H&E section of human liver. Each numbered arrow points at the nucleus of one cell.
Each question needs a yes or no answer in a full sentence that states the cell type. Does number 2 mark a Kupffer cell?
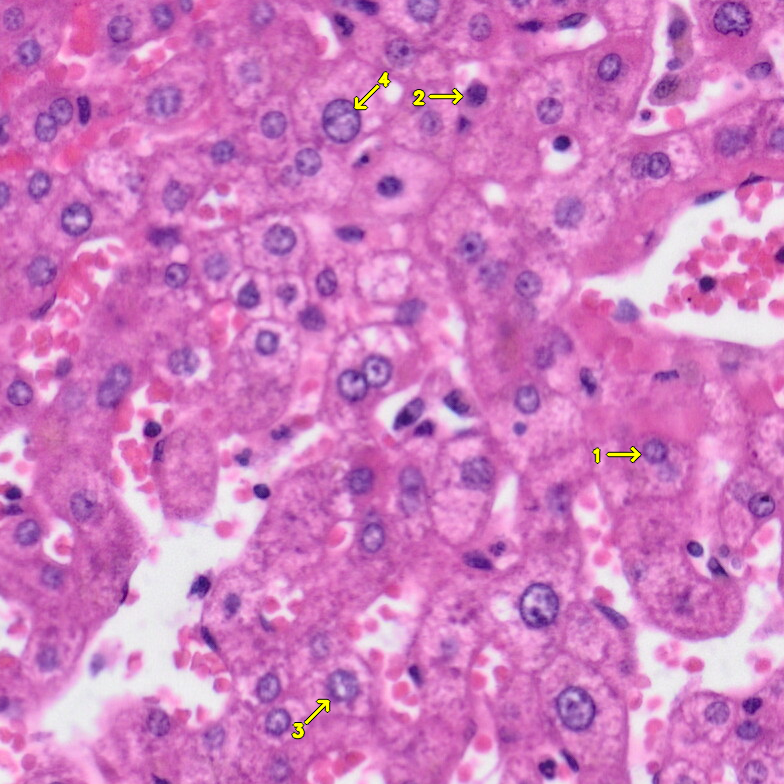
Yes, exactly, the cell numbered 2 is a Kupffer cell.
